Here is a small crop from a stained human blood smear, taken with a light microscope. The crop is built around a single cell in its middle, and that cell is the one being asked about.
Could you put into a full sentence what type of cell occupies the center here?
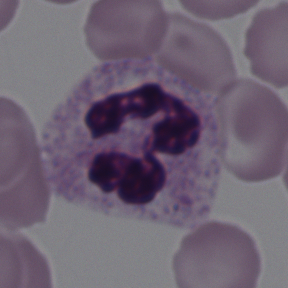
The cell under consideration, at the middle of the crop, is a segmented neutrophil.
